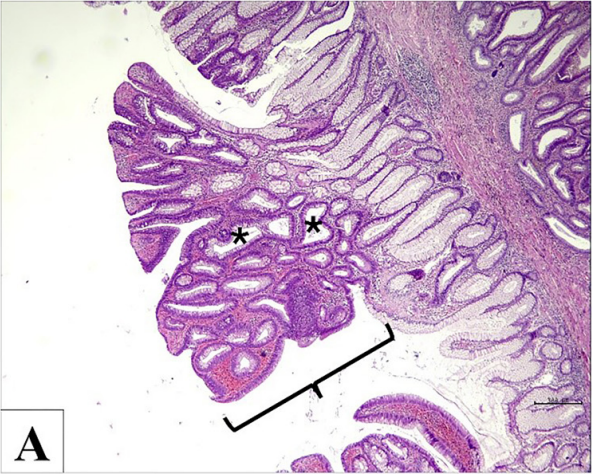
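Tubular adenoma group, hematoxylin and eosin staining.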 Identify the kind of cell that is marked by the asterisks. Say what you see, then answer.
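Pseudostratified epithelial cells. The glands near the asterisks stain more purple than the mucosa beside them.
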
